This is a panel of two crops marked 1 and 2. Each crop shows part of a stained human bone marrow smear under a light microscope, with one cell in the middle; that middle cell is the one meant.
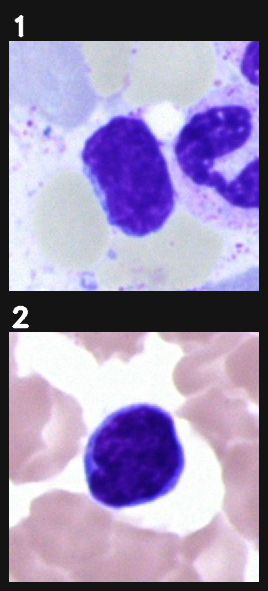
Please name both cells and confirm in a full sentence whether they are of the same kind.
Yes, both of the crops in this pair show lymphocytes, one cell in each crop.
